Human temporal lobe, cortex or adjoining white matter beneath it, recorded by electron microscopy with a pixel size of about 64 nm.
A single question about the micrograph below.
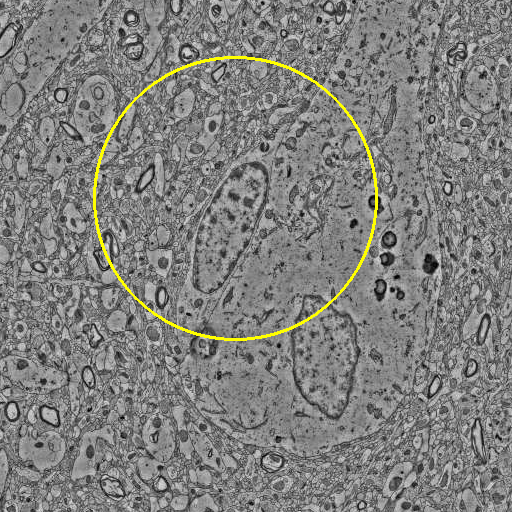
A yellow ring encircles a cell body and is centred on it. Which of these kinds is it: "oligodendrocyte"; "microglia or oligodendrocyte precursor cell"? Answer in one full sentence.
The cell body at the centre of the yellow ring belongs to a microglial cell or oligodendrocyte precursor cell.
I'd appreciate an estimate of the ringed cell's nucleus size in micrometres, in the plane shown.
In this plane the nucleus is about 9 micrometres by 3.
